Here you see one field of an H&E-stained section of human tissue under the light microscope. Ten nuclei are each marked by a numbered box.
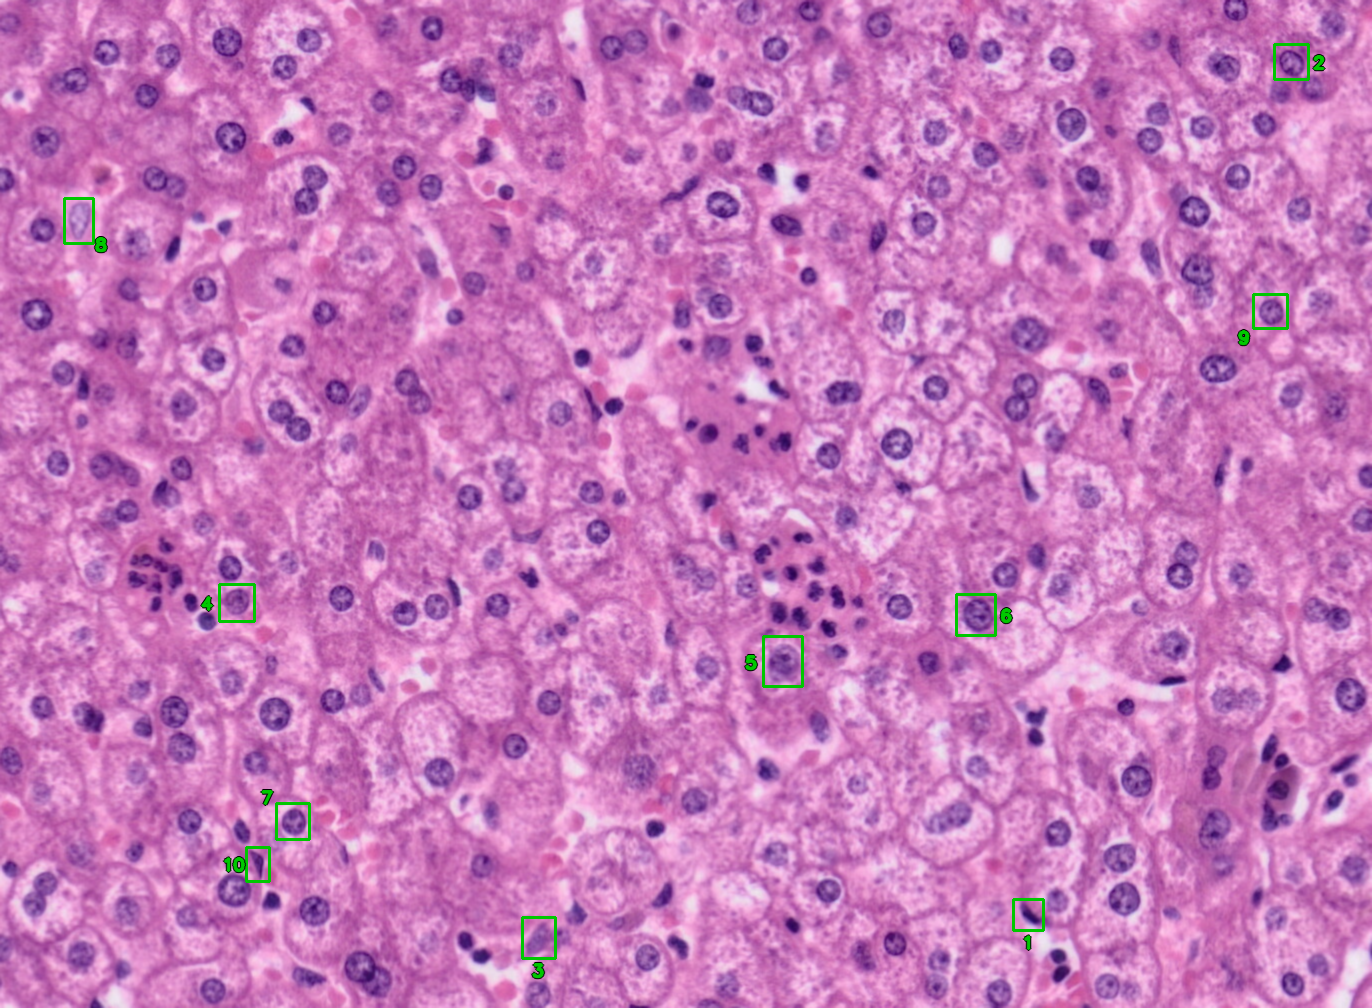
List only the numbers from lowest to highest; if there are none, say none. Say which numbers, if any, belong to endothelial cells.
1, 10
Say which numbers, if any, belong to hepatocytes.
2, 4, 5, 6, 7, 9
